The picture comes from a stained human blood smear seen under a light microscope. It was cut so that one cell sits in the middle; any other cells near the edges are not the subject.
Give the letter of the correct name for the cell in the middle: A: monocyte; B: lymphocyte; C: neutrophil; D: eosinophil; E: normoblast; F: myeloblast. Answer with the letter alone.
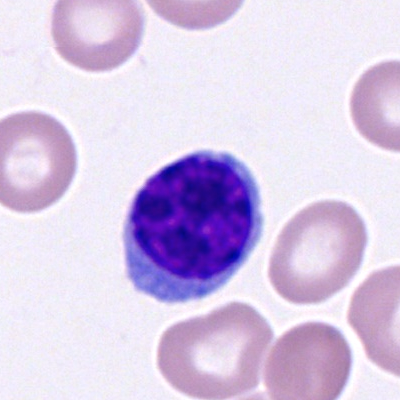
B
